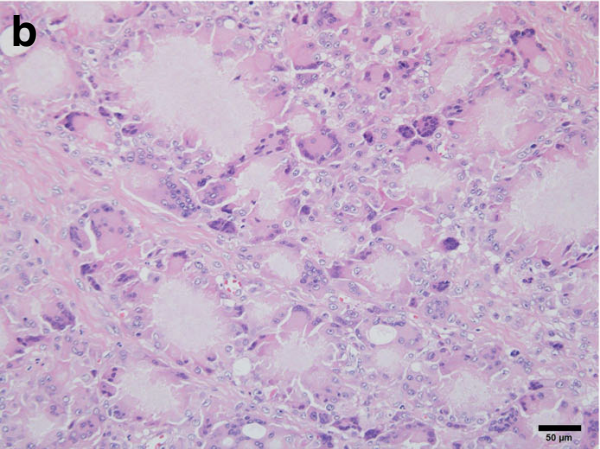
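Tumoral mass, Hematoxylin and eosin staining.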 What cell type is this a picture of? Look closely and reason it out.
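Foreign-body giant cell. Large cells contain clusters of many purple nuclei. These multinucleated cells lie at the edges of pale crystal-filled areas.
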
